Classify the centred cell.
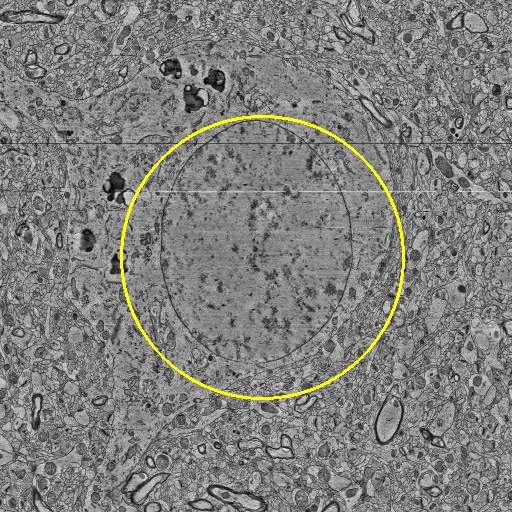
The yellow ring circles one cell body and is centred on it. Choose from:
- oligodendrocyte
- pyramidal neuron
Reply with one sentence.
The ring is centred on a pyramidal neuron.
